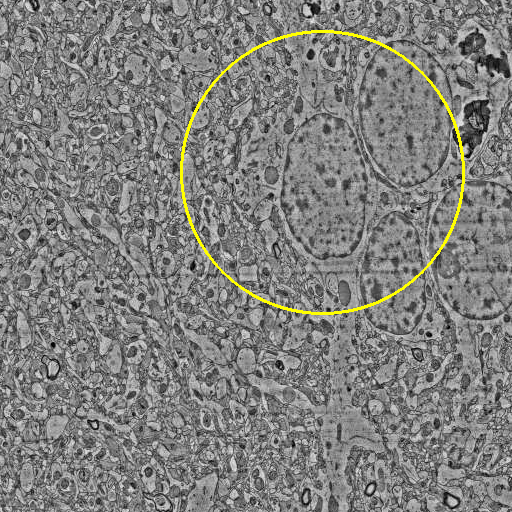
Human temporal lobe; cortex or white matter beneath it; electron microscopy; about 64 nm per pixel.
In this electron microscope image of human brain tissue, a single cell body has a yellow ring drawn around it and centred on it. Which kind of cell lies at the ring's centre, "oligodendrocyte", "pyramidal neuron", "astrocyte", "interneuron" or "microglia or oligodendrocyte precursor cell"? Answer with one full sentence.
It is an astrocyte whose cell body lies at the centre of the yellow ring here.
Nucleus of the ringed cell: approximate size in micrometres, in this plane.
About 9 by 6 micrometres; in this plane the nucleus is clearly longer than it is wide.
